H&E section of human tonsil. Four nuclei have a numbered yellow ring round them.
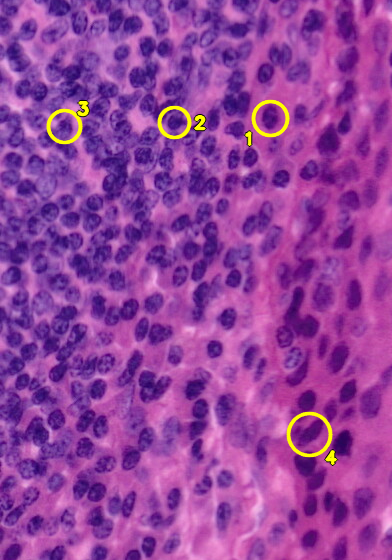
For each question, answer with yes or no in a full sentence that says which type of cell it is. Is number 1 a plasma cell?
Yes, number 1 in this section denotes a plasma cell.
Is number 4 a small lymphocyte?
No, the one with number 4 is a squamous epithelial cell, not a small lymphocyte.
